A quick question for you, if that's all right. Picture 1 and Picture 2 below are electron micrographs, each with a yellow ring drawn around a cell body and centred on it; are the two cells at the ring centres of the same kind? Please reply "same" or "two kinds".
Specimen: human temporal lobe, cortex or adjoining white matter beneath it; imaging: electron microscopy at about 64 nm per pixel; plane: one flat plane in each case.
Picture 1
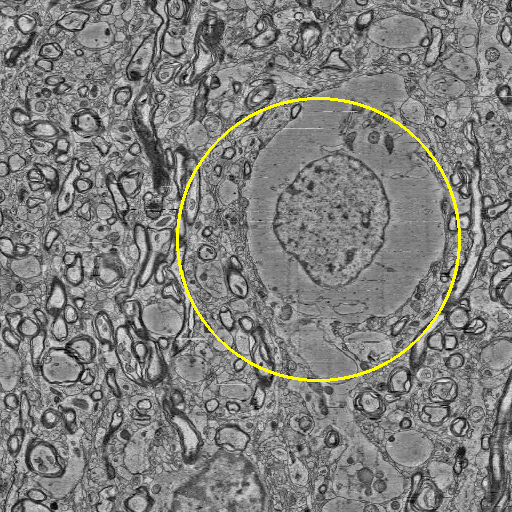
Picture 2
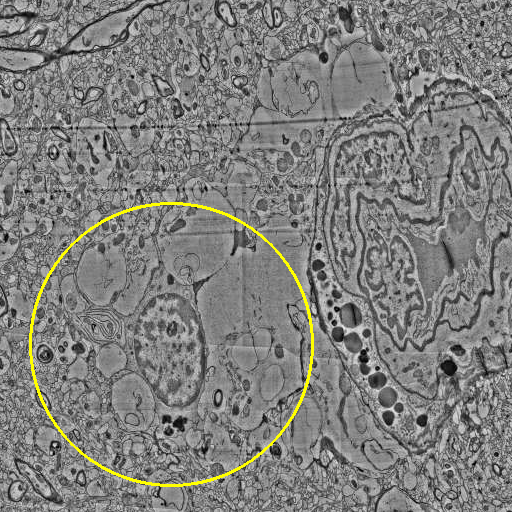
two kinds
